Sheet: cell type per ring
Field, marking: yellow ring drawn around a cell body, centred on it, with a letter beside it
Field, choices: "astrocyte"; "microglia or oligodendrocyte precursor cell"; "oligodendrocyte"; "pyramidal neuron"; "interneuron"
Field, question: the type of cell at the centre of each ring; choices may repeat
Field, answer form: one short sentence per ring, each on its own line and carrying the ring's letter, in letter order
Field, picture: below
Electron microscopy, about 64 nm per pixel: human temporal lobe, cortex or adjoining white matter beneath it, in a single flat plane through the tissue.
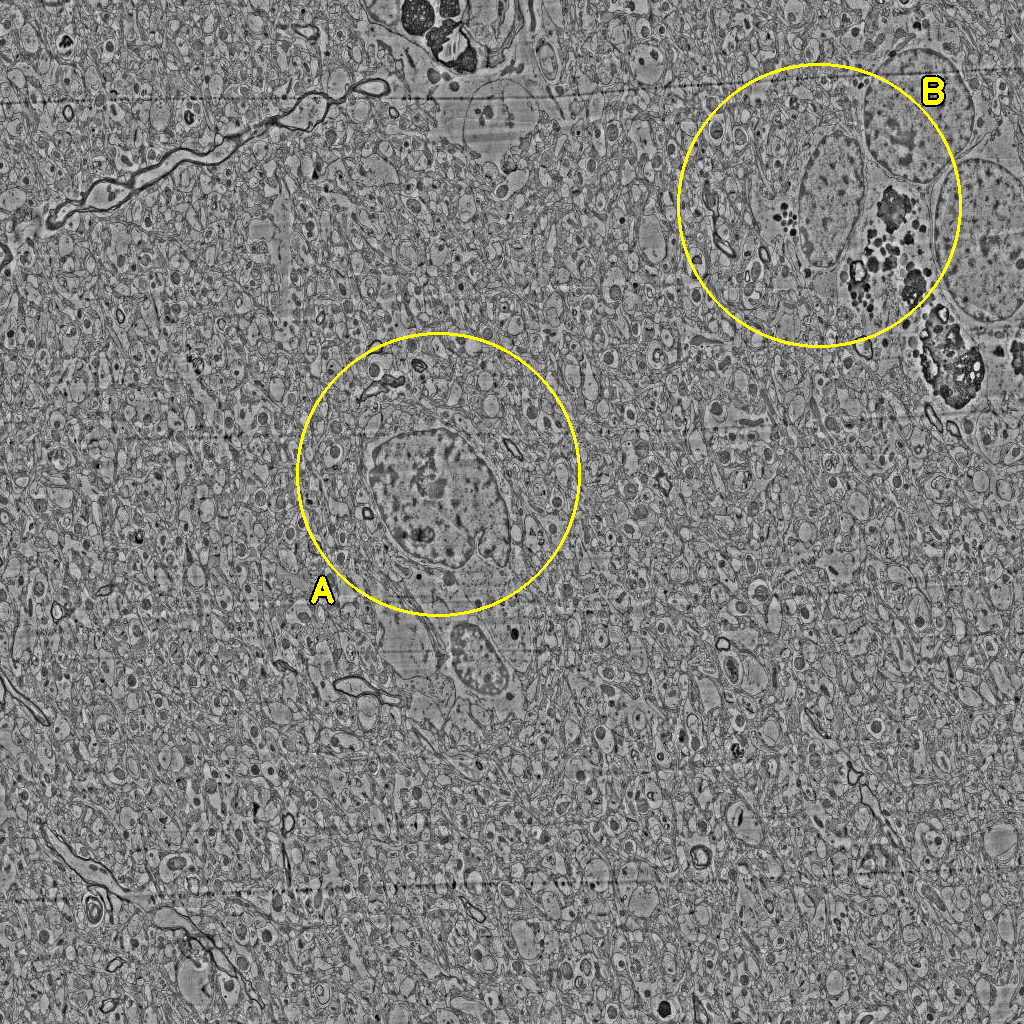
The cell body inside ring A, at its centre, is a microglial cell or oligodendrocyte precursor cell.
The cell body inside ring B, at its centre, is an astrocyte.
